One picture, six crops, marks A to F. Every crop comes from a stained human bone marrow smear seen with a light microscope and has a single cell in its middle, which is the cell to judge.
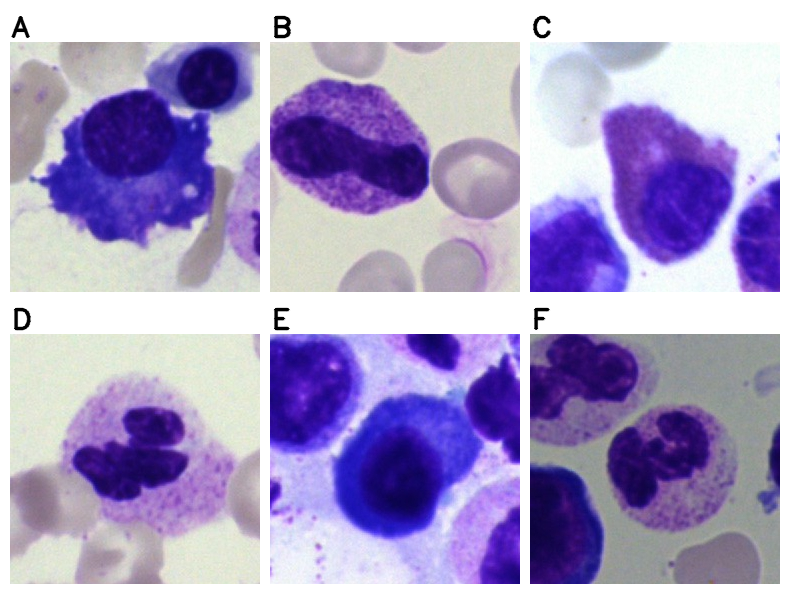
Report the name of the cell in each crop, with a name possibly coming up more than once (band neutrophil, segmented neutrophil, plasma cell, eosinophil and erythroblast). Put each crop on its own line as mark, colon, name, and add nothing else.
A: plasma cell
B: band neutrophil
C: eosinophil
D: segmented neutrophil
E: plasma cell
F: segmented neutrophil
